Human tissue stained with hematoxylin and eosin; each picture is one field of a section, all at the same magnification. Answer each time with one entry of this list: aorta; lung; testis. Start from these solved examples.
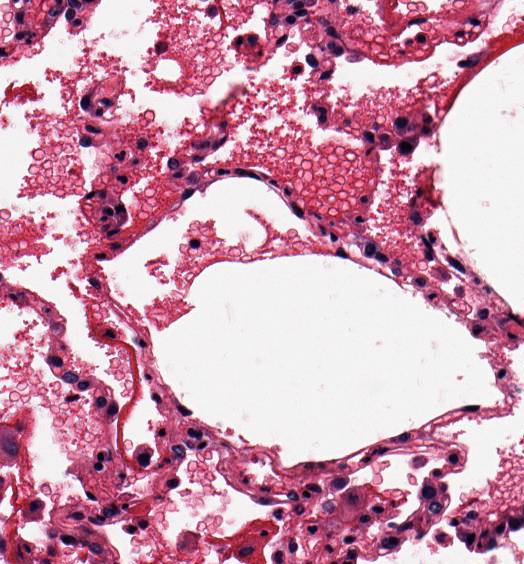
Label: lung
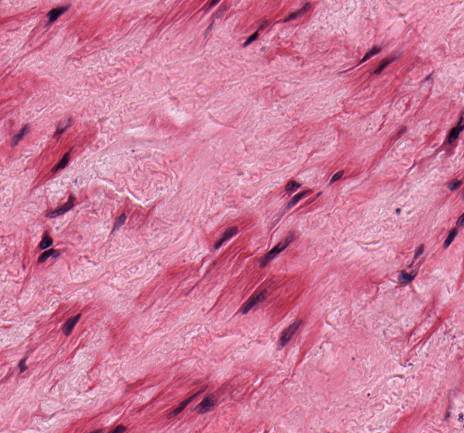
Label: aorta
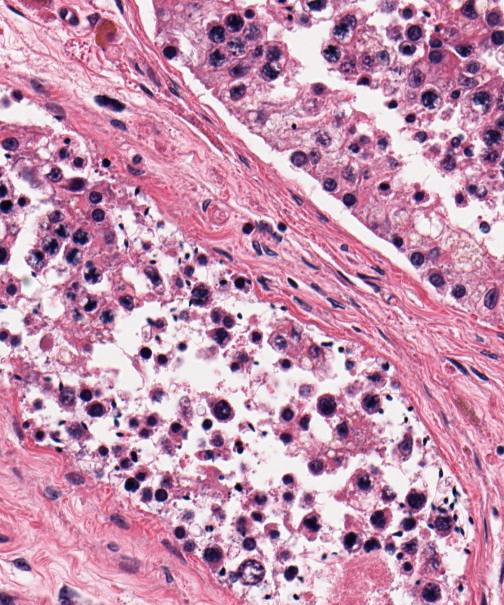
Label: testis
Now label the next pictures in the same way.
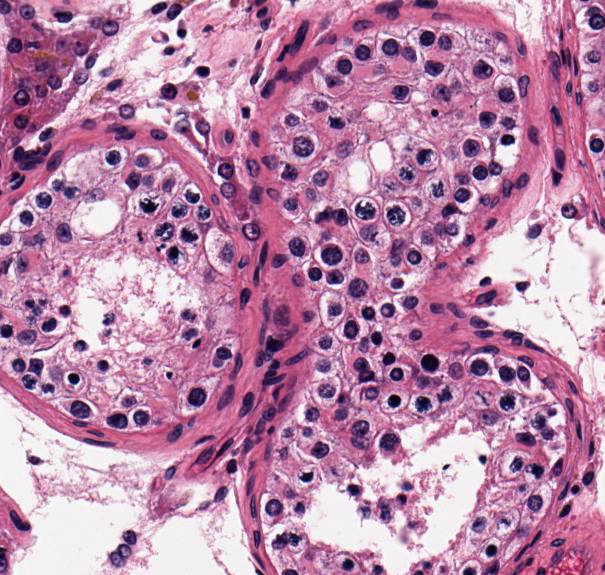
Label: testis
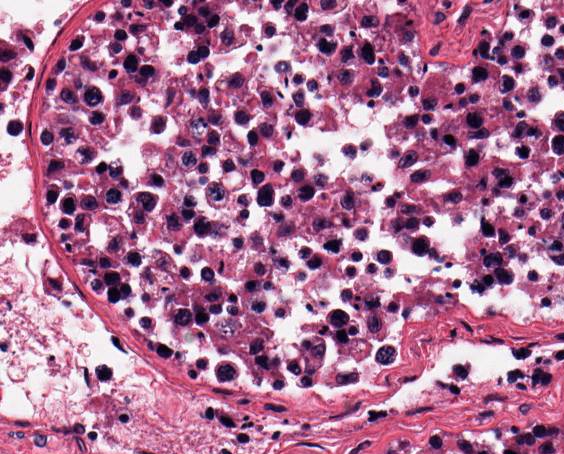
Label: testis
